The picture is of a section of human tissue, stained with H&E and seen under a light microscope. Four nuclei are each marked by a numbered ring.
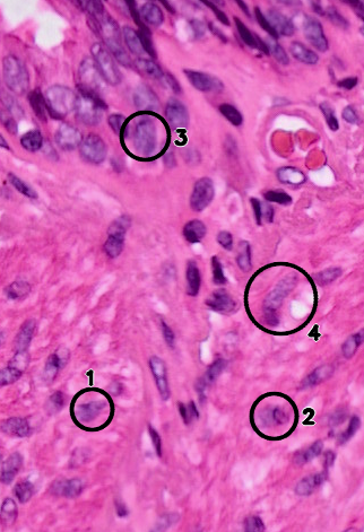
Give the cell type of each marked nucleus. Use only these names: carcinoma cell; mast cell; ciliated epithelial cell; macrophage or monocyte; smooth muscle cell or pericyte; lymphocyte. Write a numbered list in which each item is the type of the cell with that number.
1. smooth muscle cell or pericyte
2. smooth muscle cell or pericyte
3. ciliated epithelial cell
4. smooth muscle cell or pericyte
